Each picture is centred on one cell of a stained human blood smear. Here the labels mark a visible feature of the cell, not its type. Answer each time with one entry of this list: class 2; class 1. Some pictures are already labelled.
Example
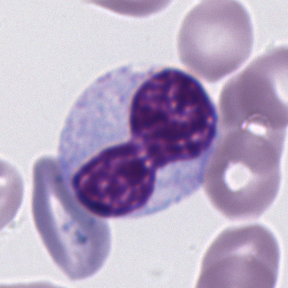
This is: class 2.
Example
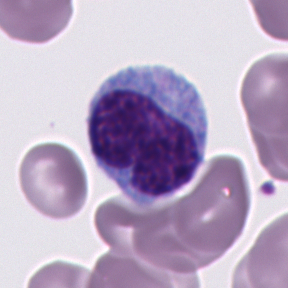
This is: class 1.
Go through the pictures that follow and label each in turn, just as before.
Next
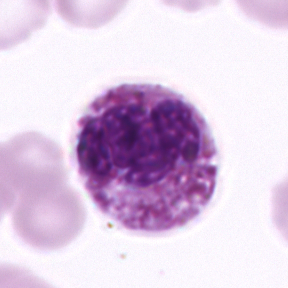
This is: class 2.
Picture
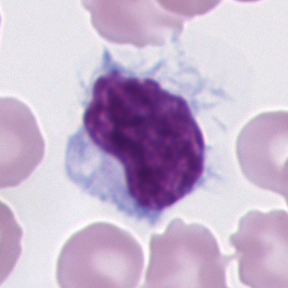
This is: class 1.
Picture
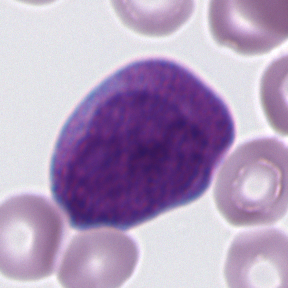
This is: class 1.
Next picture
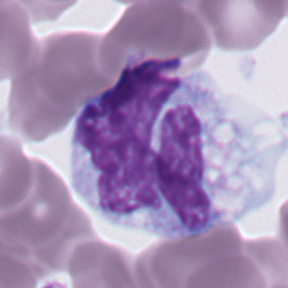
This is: class 2.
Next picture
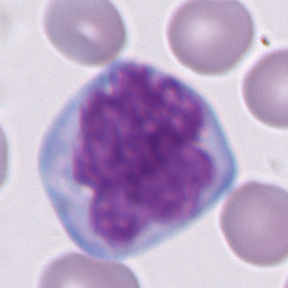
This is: class 2.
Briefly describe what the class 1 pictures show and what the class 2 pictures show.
class 1: single compact nucleus; class 2: lobed nucleus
